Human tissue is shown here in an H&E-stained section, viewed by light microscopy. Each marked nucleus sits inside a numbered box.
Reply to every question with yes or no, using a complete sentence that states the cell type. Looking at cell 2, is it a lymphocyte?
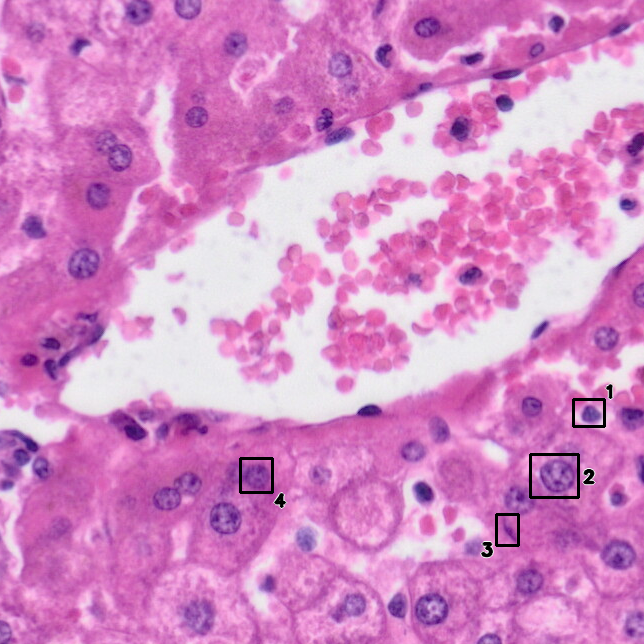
No, it is a hepatocyte, rather than a lymphocyte, that carries number 2.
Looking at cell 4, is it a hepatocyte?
Yes, the marked cell numbered 4 is a hepatocyte.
